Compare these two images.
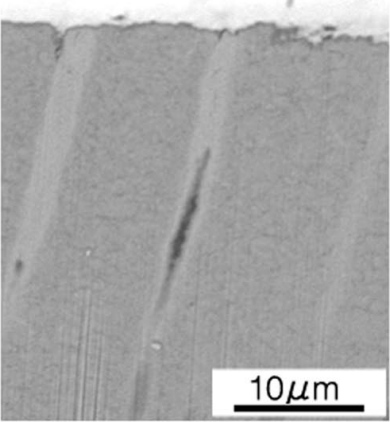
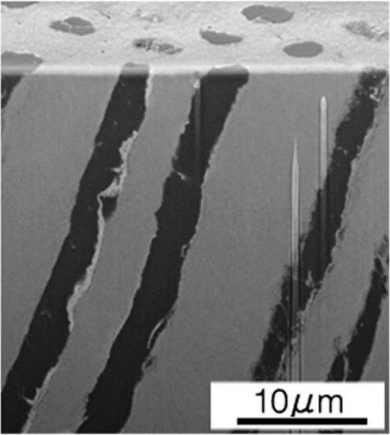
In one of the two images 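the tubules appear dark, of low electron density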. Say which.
the second image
